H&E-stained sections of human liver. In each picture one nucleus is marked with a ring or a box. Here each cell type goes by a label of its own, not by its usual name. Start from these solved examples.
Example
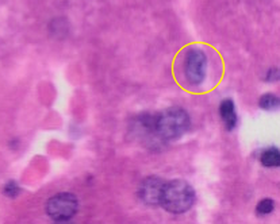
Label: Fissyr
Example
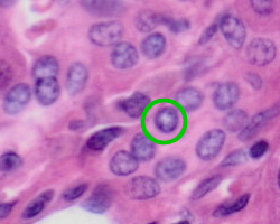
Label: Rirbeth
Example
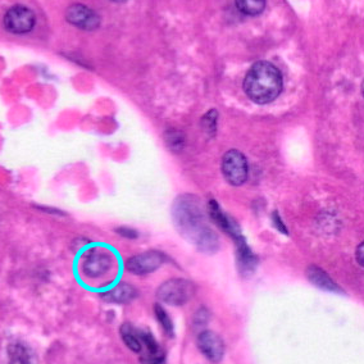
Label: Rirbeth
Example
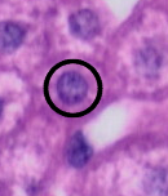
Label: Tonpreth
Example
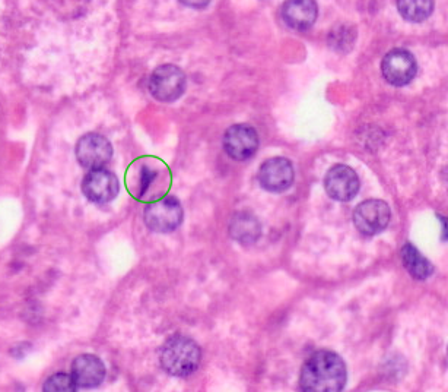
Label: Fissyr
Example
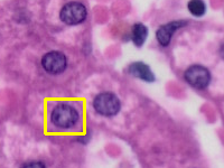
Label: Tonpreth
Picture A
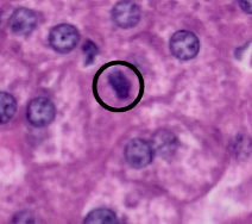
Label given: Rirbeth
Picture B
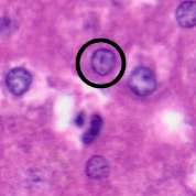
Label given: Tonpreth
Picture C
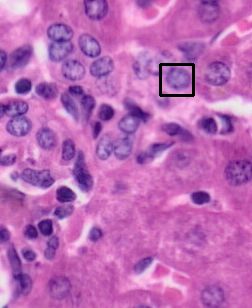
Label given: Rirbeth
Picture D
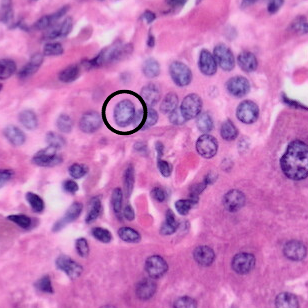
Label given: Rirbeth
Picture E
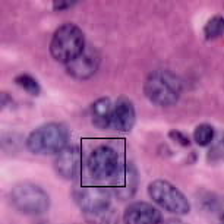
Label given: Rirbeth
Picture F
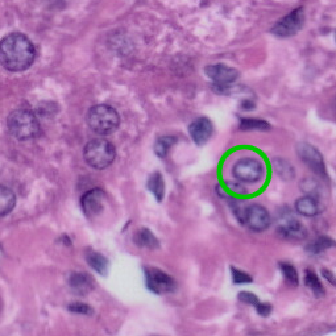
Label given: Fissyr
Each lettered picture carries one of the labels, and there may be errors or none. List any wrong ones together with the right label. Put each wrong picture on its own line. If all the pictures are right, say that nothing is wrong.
A: not Rirbeth but Fissyr
F: not Fissyr but Rirbeth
